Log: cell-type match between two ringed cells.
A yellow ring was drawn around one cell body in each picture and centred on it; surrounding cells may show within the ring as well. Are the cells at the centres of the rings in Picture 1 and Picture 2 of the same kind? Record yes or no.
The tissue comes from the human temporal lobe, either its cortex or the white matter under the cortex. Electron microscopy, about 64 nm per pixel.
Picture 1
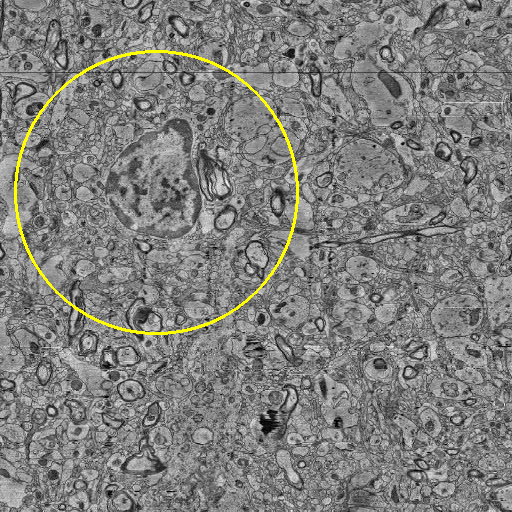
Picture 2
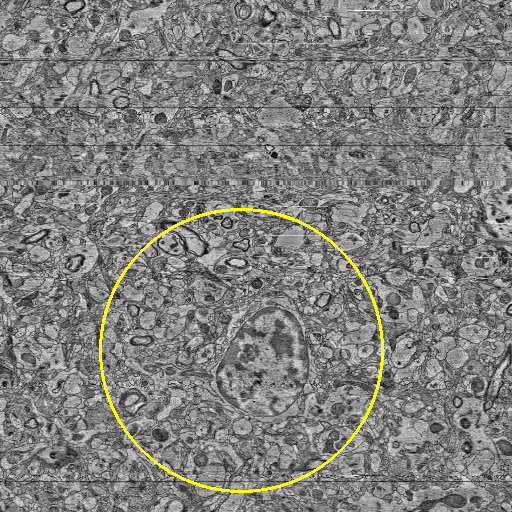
yes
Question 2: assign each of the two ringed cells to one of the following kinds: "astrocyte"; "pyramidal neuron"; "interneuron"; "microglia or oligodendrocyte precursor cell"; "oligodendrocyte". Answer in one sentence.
The second cell is a microglial cell or oligodendrocyte precursor cell, just as the first is.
